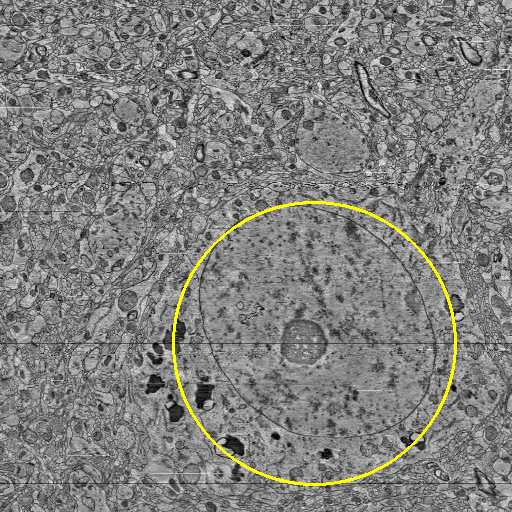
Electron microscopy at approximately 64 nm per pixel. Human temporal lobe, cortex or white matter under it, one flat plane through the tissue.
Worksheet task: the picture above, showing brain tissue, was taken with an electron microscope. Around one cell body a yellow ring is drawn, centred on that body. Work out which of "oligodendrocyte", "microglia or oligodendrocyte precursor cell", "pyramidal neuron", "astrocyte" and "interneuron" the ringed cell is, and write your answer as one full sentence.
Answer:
It is a pyramidal neuron whose cell body lies at the centre of the yellow ring.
